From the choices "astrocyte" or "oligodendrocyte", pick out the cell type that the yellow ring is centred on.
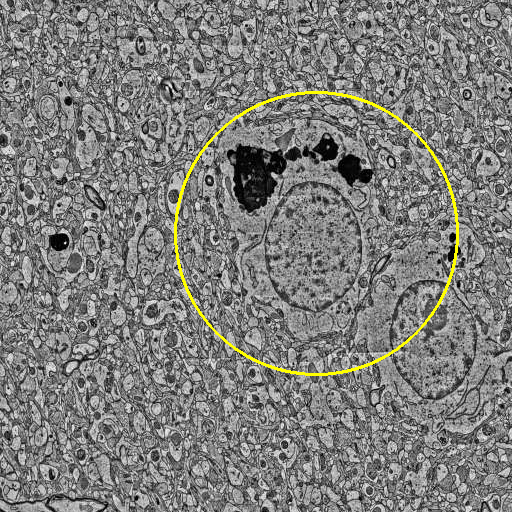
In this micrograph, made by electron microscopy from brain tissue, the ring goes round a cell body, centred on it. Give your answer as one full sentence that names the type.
The yellow ring is centred on an astrocyte, whose cell body it encircles in the picture.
